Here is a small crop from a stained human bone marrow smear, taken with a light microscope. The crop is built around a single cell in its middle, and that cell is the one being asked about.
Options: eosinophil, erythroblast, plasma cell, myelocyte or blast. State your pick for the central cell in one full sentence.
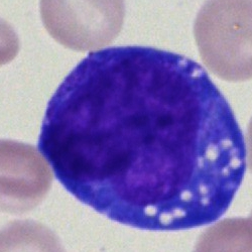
The cell of interest, in the center, is a blast.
